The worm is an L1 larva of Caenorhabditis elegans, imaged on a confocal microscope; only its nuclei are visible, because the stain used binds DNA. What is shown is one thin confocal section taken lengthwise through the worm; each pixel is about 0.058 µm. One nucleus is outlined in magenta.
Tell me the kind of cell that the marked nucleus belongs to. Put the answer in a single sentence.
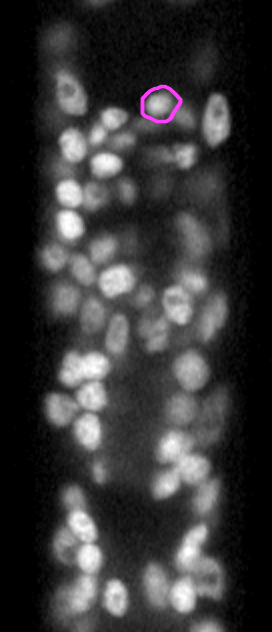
The marked nucleus is that of a valve cell of the gut.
